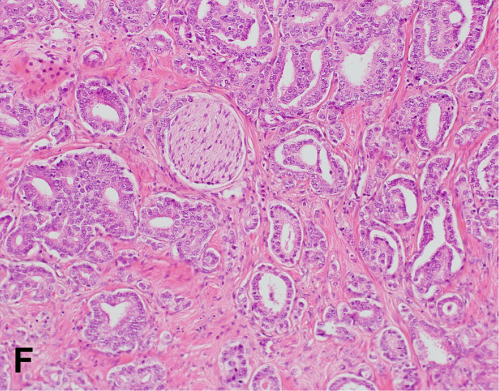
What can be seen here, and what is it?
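This section of prostate cancer shows a small nerve bundle surrounded by neoplastic glands, an instance of perineural invasion. The nerve in the centre is round and made of wavy pink fibres with slender, elongated nuclei. Crowded small glands with round or slit-like lumens lie all around it, some pressing right against its edge.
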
